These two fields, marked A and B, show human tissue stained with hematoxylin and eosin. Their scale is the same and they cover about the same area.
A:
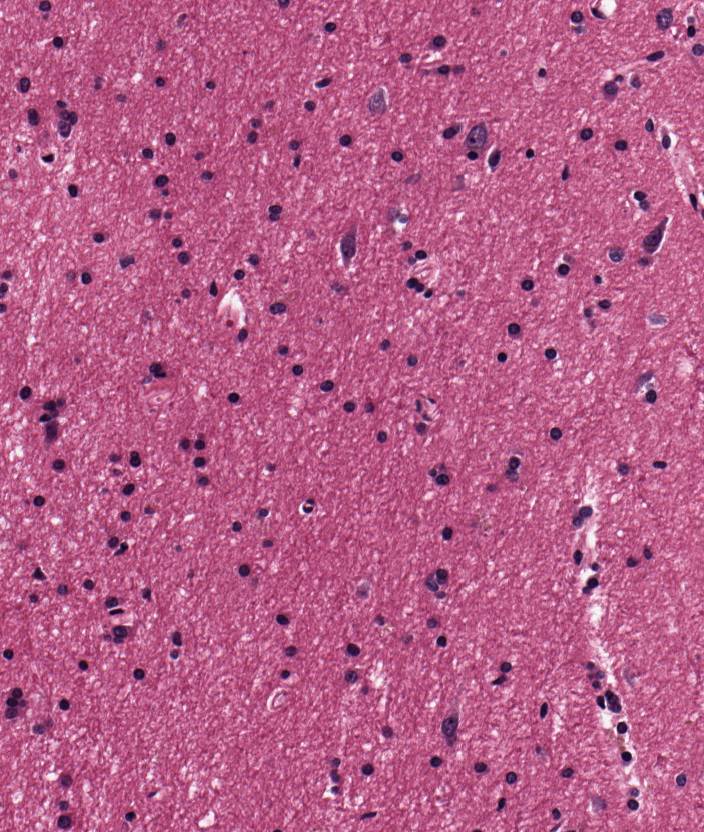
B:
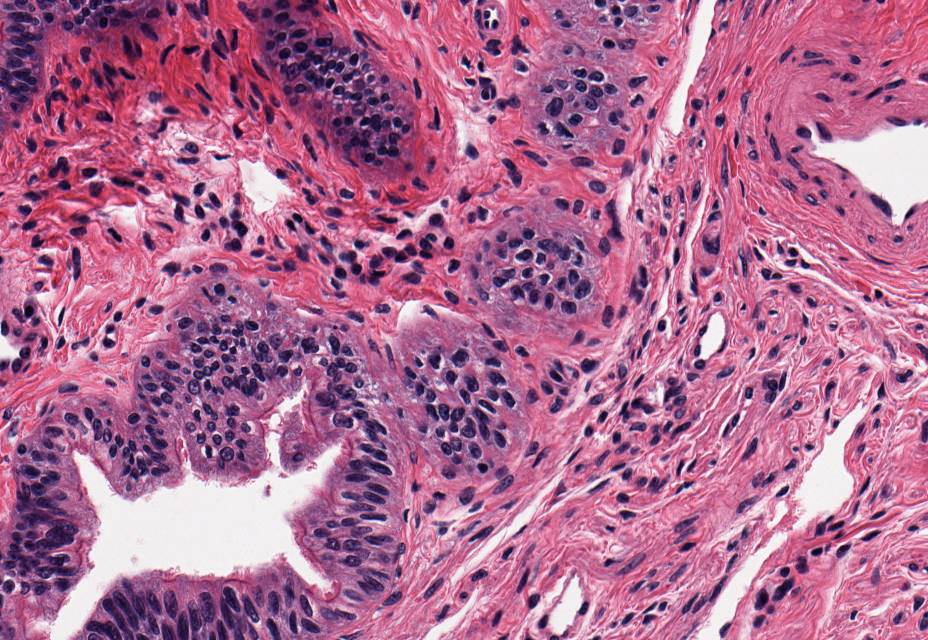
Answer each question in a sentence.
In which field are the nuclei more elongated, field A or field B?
On the whole the nuclei of field B are more drawn out than those of field A.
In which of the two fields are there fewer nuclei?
Field A holds fewer nuclei than field B.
